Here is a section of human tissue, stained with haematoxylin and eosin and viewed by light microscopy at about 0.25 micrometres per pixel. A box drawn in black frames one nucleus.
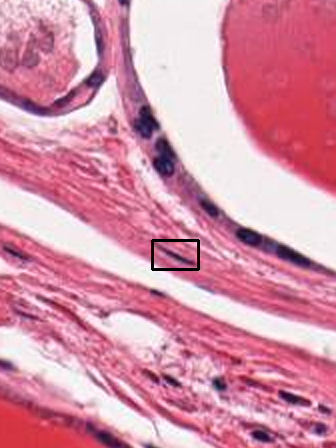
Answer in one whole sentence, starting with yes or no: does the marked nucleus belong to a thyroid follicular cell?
No, the cell that carries the marked nucleus is a supporting cell, not a thyroid follicular cell.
